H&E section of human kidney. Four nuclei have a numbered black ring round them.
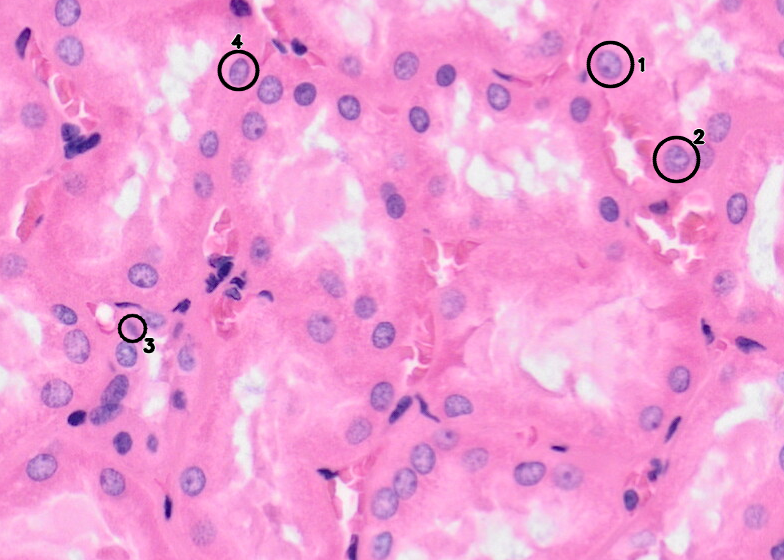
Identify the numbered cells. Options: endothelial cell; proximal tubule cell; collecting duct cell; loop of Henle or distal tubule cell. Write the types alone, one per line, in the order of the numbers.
proximal tubule cell
proximal tubule cell
collecting duct cell
proximal tubule cell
